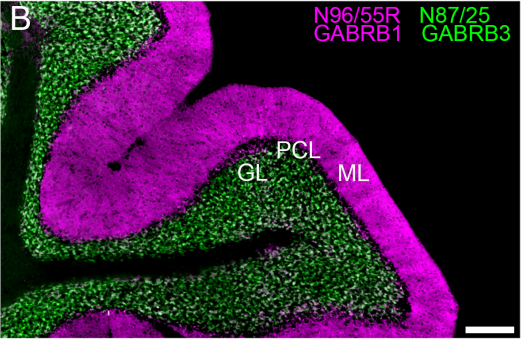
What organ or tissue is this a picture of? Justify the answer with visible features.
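Folded folia with an outer layer and an inner layer of distinct texture. A thin boundary line between the two layers follows each fold. On this evidence: cerebellum.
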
